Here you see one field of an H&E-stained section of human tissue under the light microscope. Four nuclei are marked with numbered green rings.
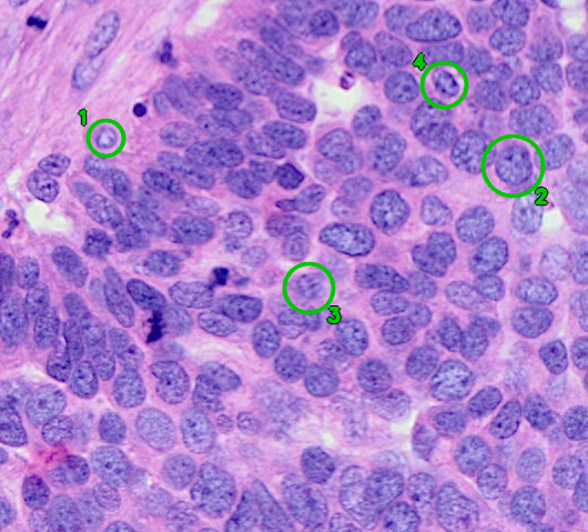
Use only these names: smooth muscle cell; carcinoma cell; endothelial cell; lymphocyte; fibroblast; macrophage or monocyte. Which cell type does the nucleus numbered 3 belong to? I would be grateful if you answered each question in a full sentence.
Identified as a carcinoma cell is the cell bearing the number 3.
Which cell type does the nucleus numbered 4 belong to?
The marked cell with the number 4 is recognised as a macrophage or monocyte.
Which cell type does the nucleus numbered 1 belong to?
The cell referenced by the number 1 is a fibroblast in this field.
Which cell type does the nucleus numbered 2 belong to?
The label 2 in this section denotes a carcinoma cell.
